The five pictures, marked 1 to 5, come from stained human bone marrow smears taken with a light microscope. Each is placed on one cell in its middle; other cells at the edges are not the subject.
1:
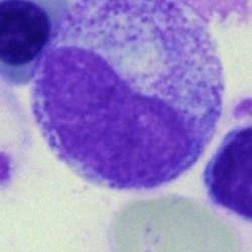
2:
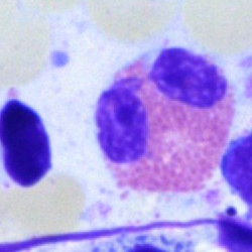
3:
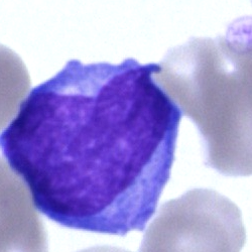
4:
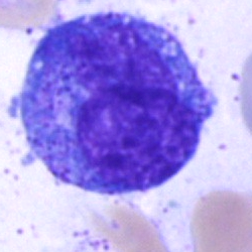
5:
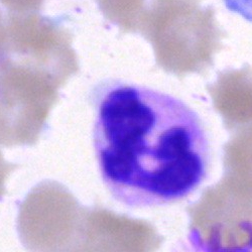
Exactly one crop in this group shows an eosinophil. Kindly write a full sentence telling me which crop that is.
Among the crops, only crop 2 contains an eosinophil.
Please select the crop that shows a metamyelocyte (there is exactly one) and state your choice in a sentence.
Among the crops, only crop 1 contains a metamyelocyte.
